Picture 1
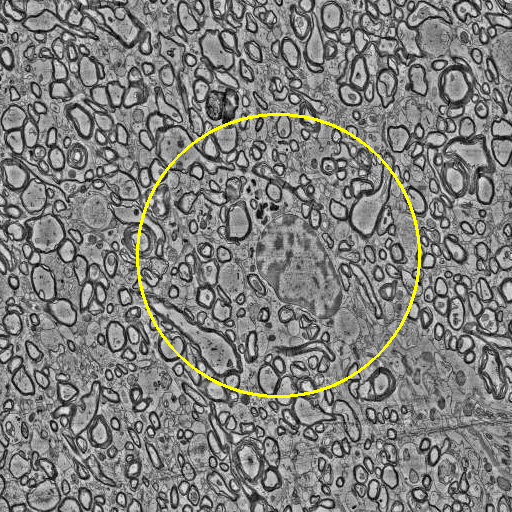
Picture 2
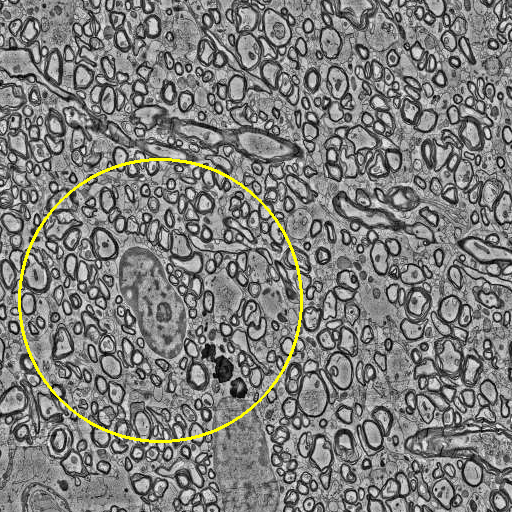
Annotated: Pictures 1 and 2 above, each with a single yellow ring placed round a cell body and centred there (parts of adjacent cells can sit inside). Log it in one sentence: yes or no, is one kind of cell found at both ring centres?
Yes, the ring centres of the two pictures hold cells of one kind.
